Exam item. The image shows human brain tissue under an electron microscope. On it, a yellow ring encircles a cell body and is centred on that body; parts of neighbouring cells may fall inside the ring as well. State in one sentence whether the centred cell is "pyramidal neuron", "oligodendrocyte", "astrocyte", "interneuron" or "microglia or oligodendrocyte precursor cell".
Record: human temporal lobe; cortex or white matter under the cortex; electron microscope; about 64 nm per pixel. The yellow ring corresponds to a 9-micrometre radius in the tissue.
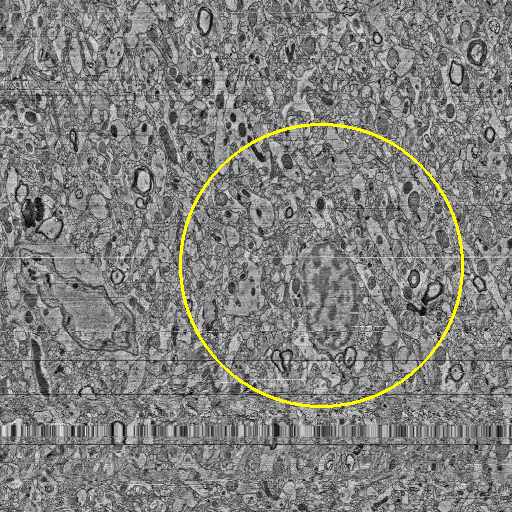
The cell body centred in the ring is an oligodendrocyte.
